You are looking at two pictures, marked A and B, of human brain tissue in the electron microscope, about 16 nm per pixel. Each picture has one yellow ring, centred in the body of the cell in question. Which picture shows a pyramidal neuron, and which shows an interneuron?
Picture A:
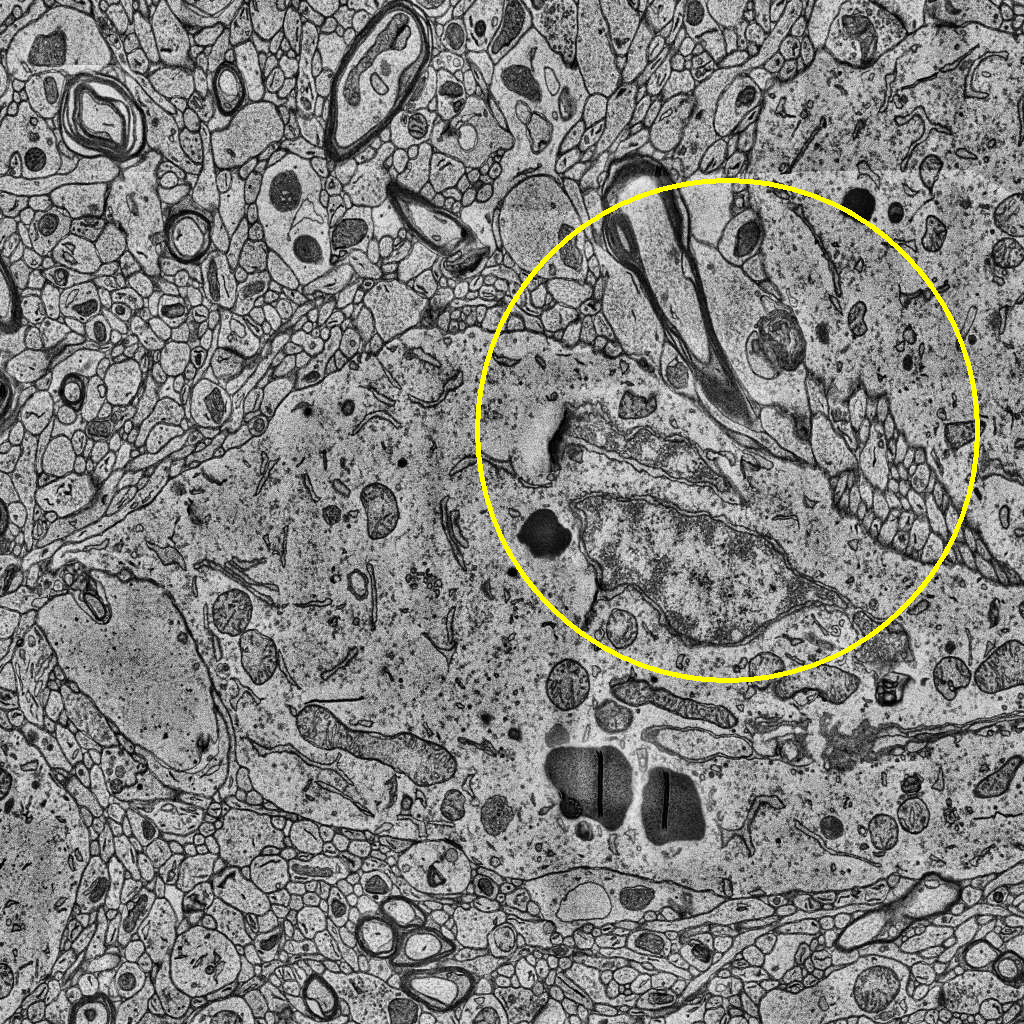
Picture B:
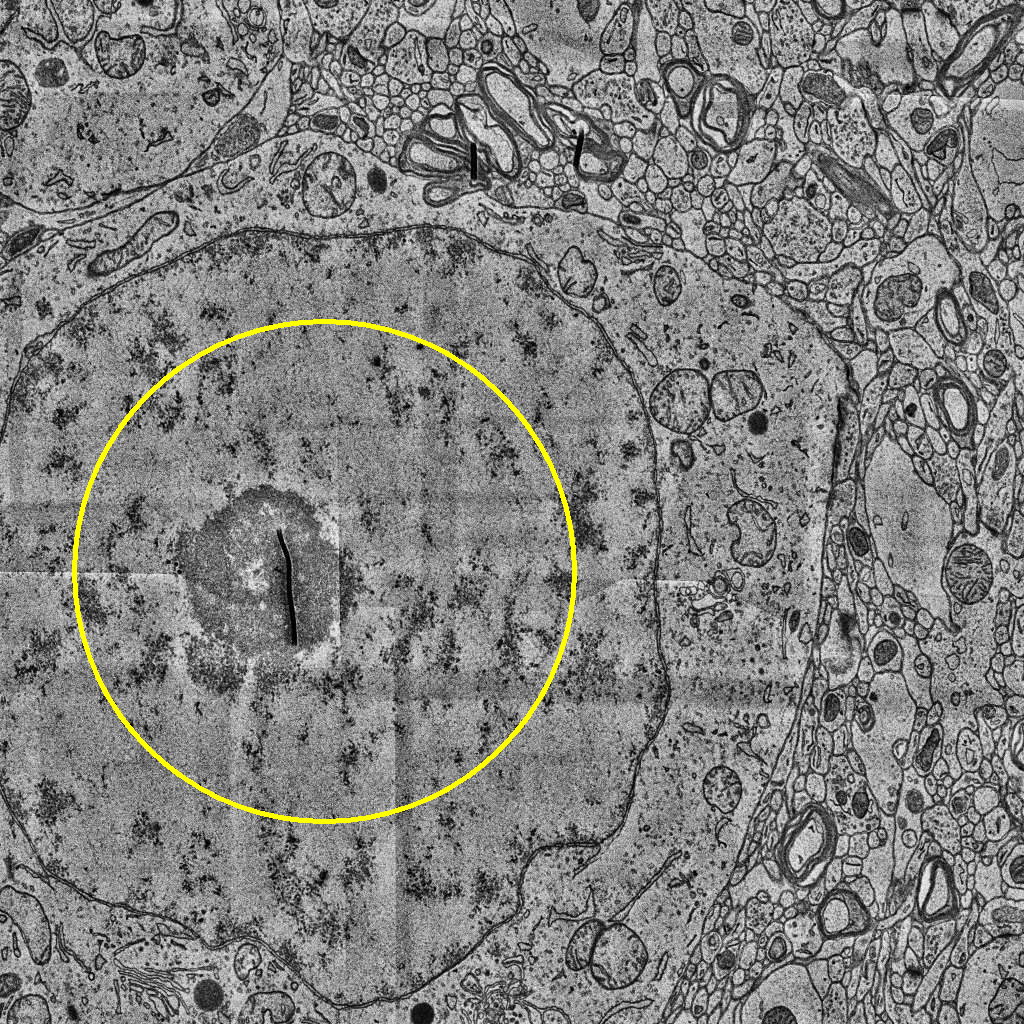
The cell in picture A is an interneuron, and the one in picture B is a pyramidal neuron.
